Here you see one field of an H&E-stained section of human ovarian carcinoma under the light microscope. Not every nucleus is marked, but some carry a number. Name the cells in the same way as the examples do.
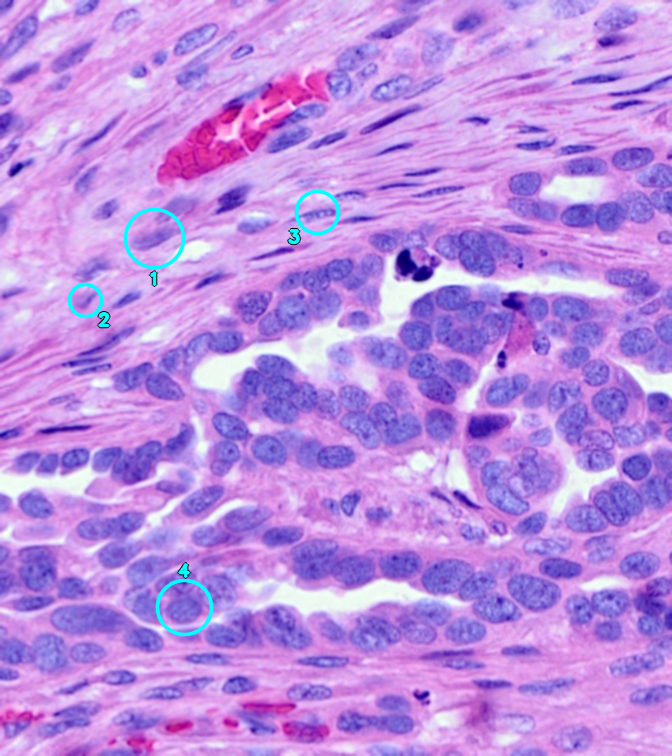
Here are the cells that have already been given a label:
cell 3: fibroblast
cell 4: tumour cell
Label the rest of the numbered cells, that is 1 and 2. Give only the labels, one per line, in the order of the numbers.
fibroblast
fibroblast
